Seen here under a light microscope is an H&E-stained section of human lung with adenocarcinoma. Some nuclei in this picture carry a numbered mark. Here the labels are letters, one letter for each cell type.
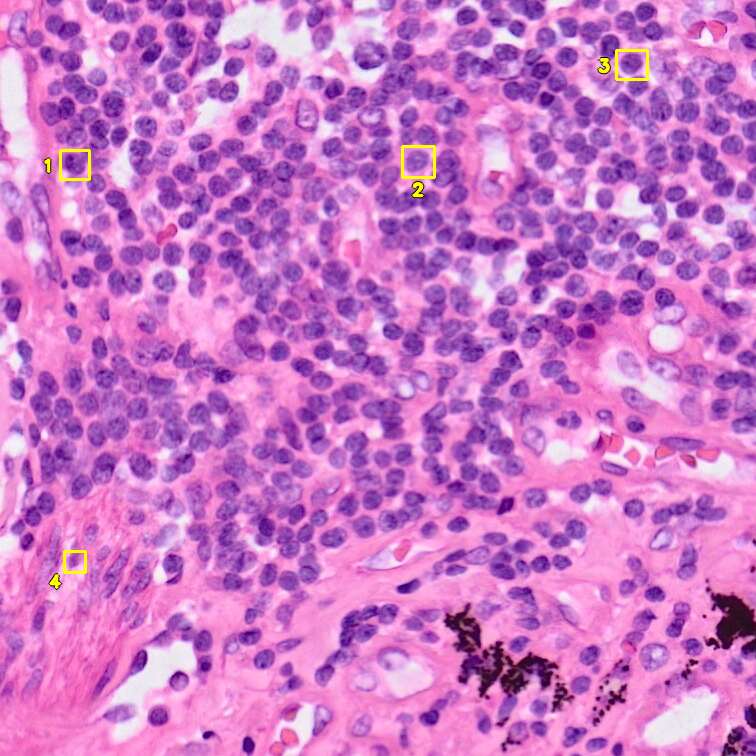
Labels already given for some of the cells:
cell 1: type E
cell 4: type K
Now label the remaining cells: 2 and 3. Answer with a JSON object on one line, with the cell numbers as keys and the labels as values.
{"2": "type E", "3": "type E"}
